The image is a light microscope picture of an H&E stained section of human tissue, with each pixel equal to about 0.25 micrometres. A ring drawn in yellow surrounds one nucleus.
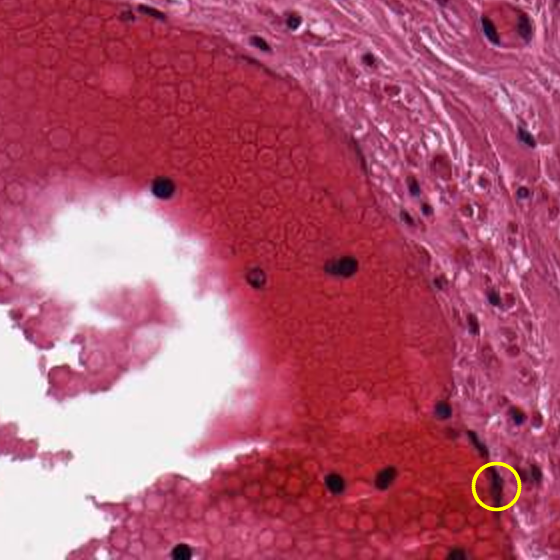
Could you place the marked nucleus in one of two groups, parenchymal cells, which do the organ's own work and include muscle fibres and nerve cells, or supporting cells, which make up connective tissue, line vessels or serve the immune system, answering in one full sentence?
As for the marked nucleus, it belongs to a supporting cell.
